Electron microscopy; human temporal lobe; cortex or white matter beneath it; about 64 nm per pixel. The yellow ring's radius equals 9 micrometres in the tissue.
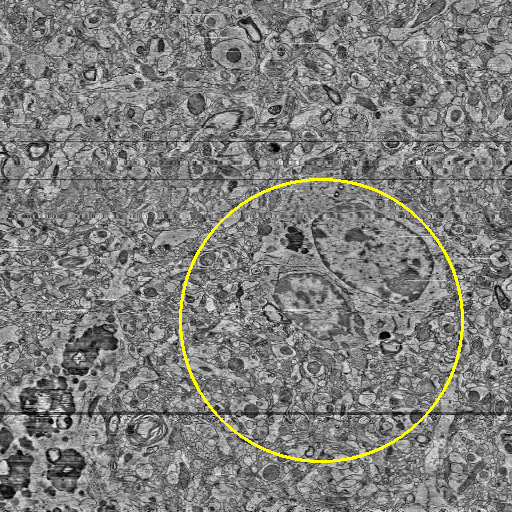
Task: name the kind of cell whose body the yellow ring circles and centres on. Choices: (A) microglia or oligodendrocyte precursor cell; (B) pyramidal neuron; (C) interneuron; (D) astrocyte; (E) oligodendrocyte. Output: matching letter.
E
